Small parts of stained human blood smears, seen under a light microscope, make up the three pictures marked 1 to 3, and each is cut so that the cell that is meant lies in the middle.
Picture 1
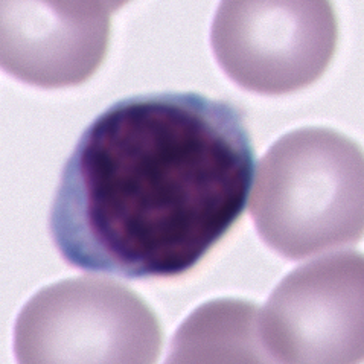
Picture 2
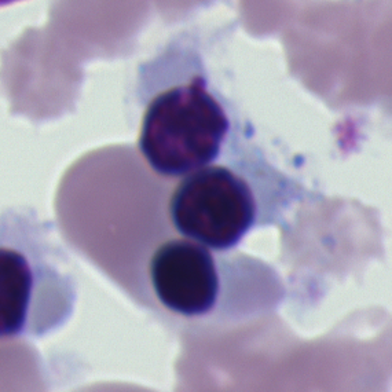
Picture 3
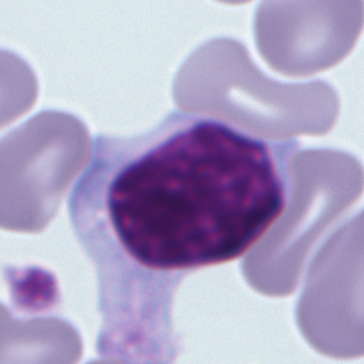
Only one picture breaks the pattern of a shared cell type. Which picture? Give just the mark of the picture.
2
